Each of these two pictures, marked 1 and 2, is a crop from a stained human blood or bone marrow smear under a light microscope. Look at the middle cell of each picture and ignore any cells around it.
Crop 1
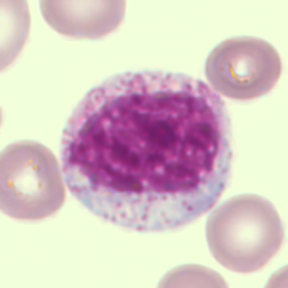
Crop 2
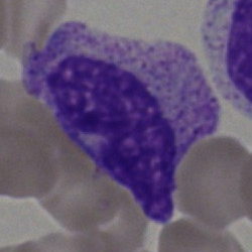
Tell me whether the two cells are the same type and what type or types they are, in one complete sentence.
No, crop 2 shows a myelocyte, and crop 1 shows a metamyelocyte.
